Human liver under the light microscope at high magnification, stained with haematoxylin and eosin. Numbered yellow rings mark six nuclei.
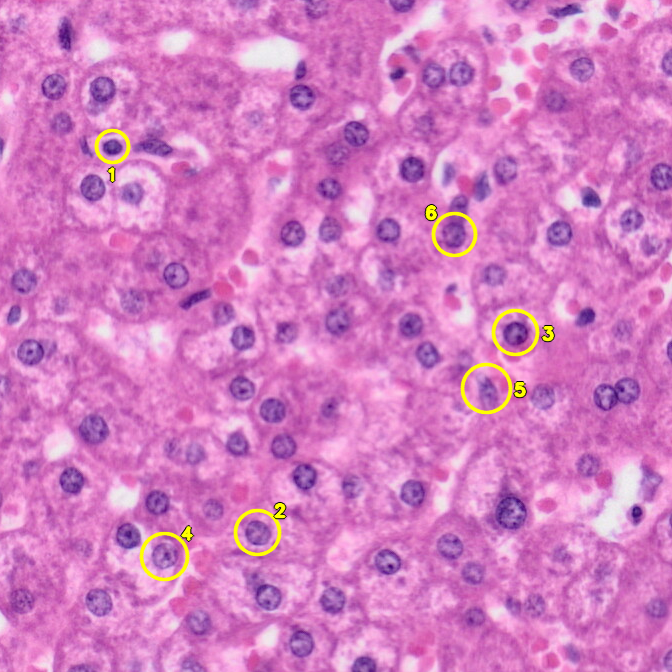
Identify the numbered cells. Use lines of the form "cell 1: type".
cell 1: lymphocyte
cell 2: hepatocyte
cell 3: hepatocyte
cell 4: hepatocyte
cell 5: Kupffer cell
cell 6: hepatocyte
